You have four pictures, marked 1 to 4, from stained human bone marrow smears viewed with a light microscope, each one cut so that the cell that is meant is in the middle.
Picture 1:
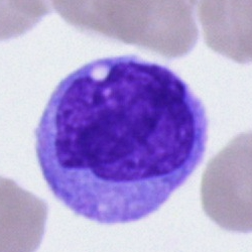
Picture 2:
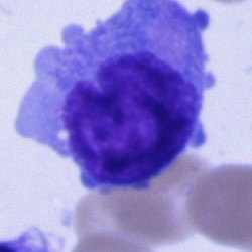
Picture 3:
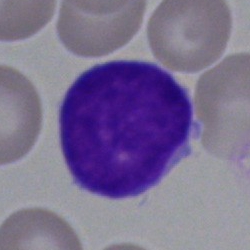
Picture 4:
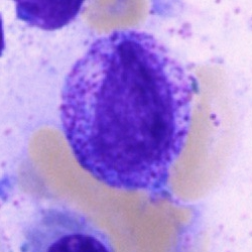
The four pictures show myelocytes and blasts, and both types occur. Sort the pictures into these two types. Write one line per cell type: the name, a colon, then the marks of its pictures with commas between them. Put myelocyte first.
myelocyte: 4
blast: 1, 2, 3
